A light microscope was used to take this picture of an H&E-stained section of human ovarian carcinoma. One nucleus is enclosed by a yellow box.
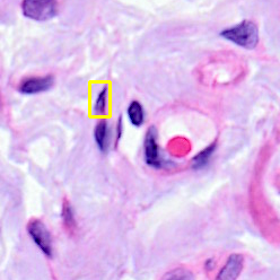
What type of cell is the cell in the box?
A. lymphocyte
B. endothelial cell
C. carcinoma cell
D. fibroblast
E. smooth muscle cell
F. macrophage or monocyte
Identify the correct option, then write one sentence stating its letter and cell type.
Here the cell in the box is a fibroblast, which makes option D correct.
